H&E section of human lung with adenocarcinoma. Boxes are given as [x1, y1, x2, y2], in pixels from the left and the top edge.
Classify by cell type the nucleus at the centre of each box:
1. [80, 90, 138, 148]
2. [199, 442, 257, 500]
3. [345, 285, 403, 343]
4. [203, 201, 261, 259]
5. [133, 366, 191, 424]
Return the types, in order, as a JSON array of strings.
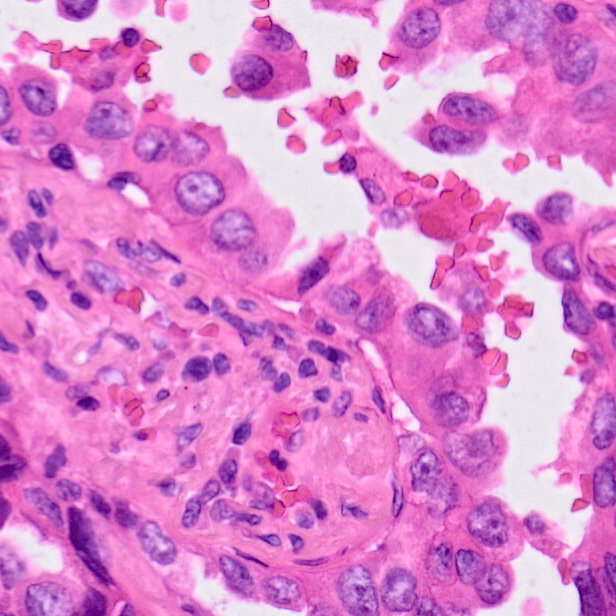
["carcinoma cell", "plasma cell", "carcinoma cell", "carcinoma cell", "lymphocyte"]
